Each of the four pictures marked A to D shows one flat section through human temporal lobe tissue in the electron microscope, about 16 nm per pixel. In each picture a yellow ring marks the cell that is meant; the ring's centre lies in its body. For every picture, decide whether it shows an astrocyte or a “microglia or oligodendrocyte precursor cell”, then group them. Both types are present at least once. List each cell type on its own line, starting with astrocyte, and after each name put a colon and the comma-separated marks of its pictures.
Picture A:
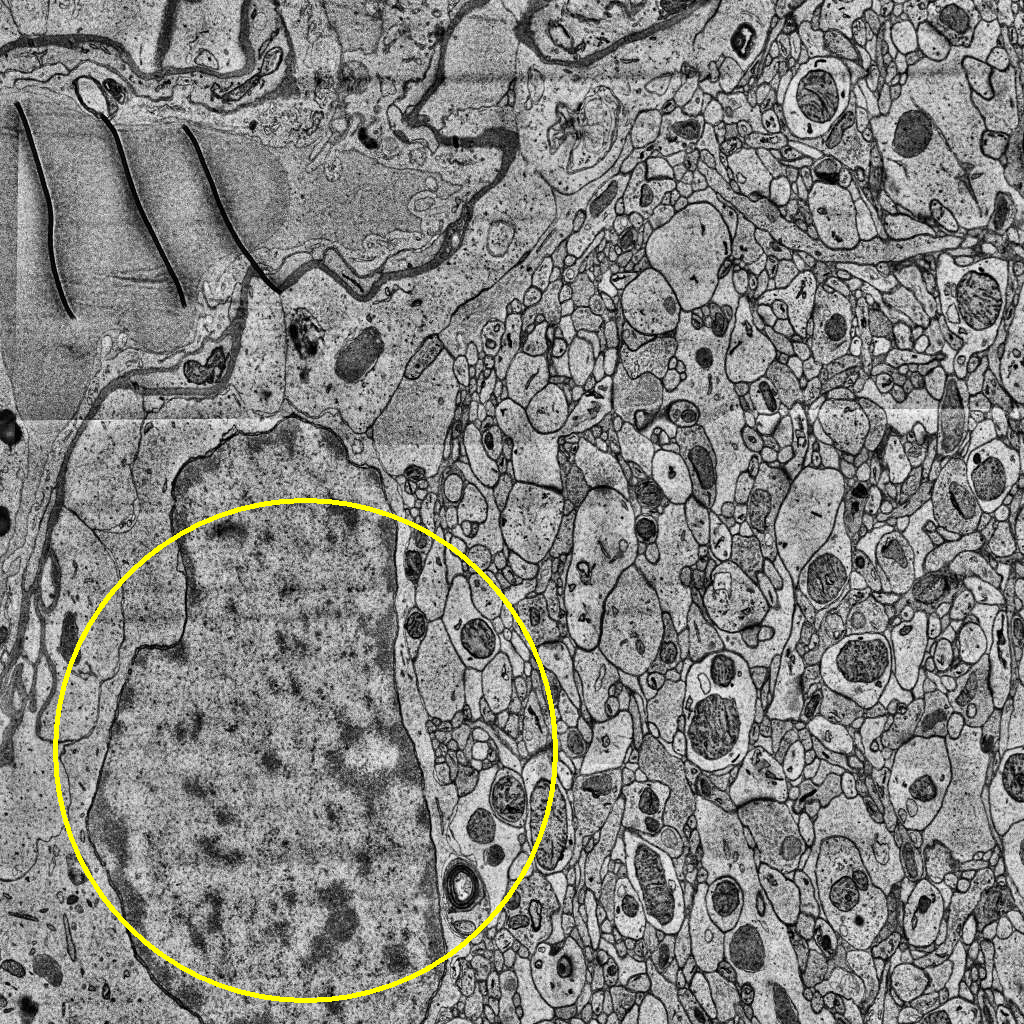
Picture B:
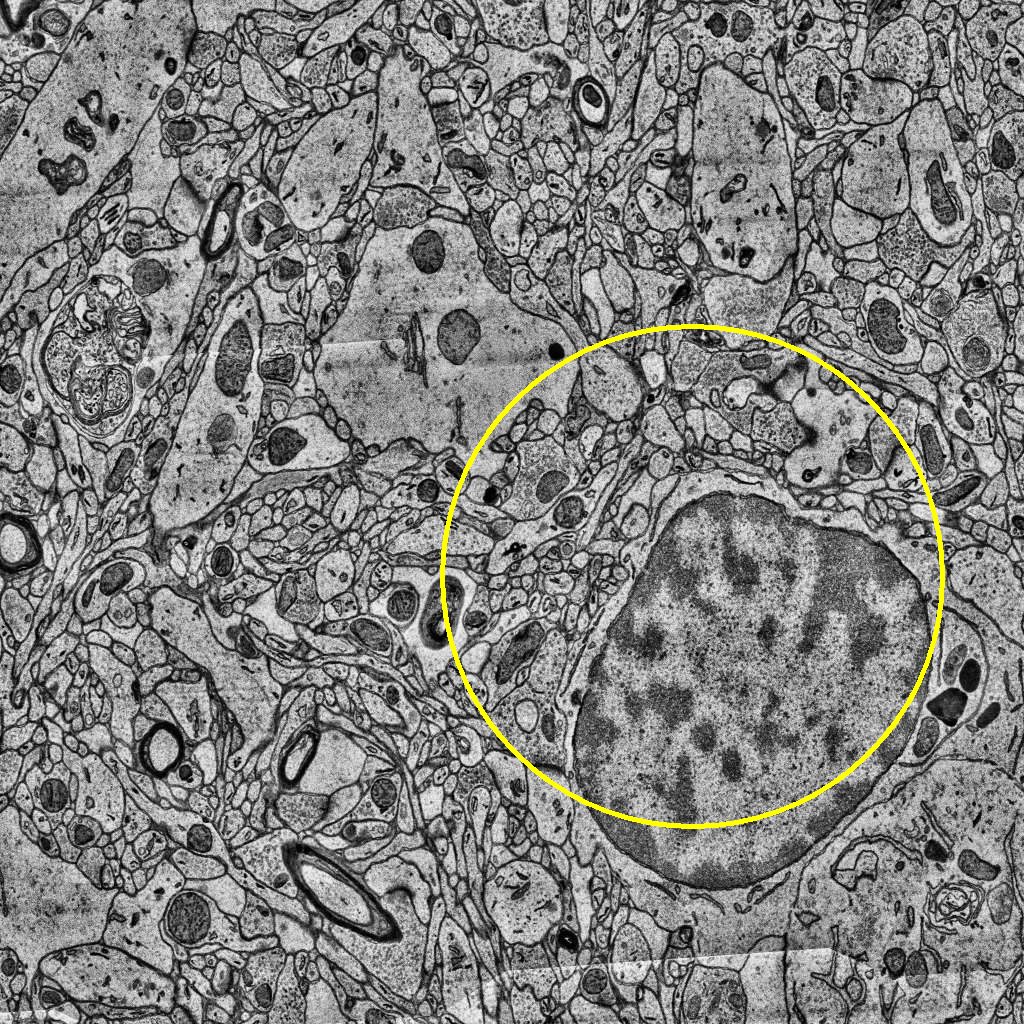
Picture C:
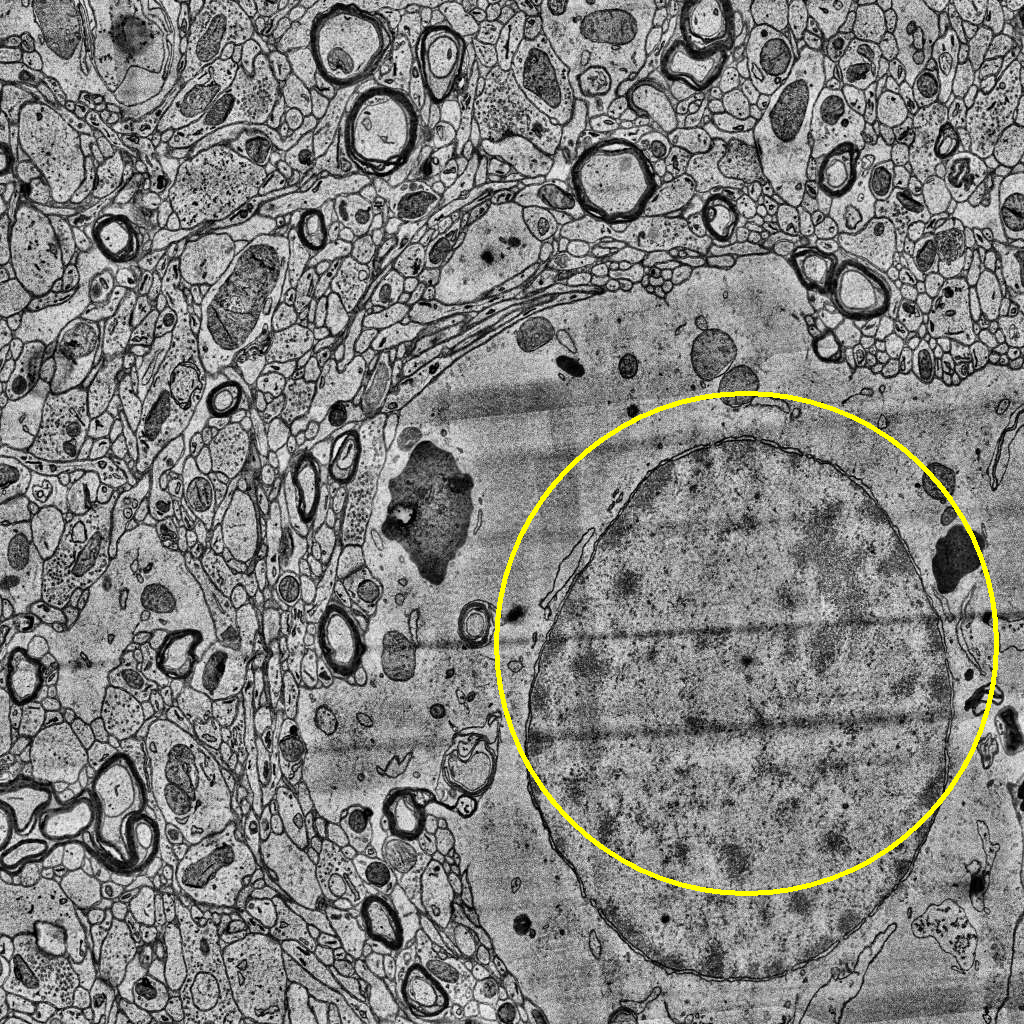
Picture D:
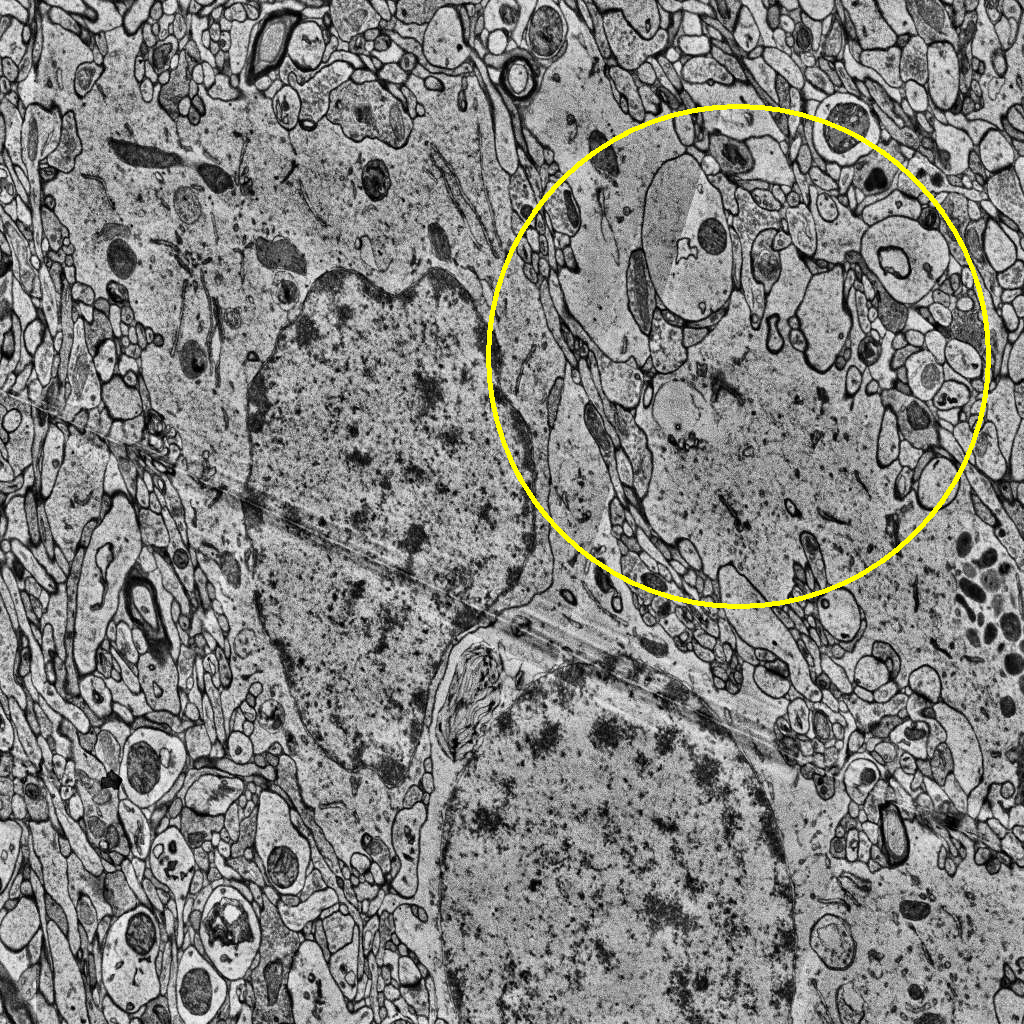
astrocyte: C, D
microglia or oligodendrocyte precursor cell: A, B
